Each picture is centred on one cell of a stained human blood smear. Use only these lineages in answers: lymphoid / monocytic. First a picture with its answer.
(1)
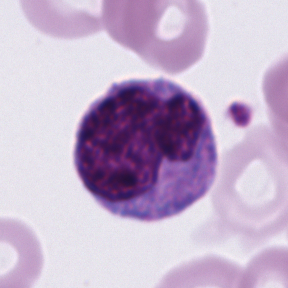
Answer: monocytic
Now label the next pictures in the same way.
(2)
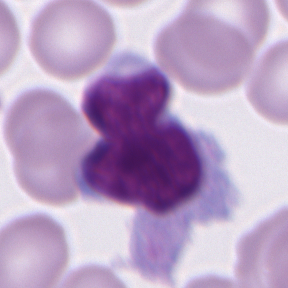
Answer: lymphoid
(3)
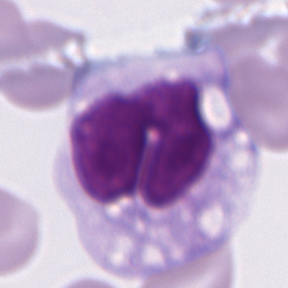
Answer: monocytic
